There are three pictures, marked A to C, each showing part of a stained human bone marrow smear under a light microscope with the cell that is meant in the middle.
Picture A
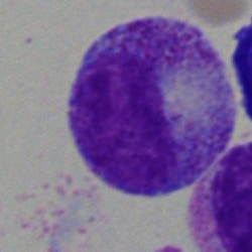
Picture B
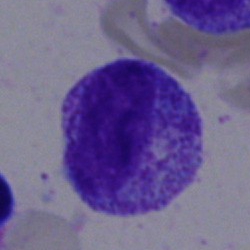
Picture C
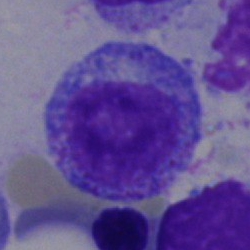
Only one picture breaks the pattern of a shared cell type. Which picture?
B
